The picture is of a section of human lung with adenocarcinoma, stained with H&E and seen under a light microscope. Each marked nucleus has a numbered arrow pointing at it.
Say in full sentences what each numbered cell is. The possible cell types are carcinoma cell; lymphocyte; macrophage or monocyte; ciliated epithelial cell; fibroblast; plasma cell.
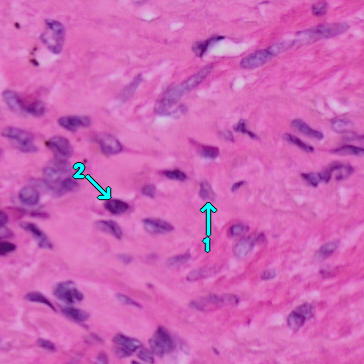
Cell 1 is a fibroblast. Cell 2 is a plasma cell.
